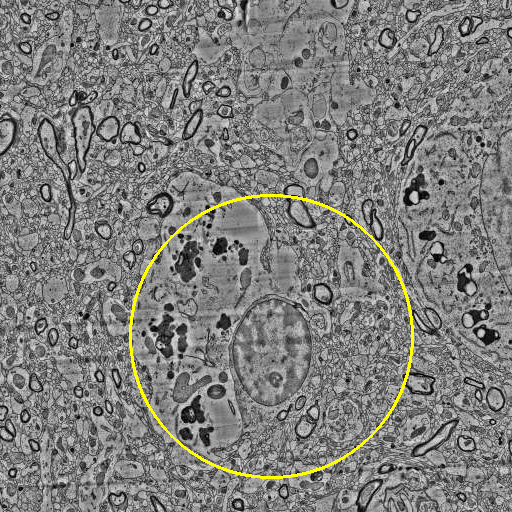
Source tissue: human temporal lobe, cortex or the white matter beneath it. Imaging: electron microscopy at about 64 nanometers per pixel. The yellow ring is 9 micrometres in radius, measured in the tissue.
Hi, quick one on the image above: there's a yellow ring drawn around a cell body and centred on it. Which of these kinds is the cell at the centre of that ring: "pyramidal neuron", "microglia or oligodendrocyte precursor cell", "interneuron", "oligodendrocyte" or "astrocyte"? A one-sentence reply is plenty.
The cell at the centre of the ring is an oligodendrocyte.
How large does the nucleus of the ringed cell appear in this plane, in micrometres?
In this plane the nucleus spans approximately 7 by 5 micrometers.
